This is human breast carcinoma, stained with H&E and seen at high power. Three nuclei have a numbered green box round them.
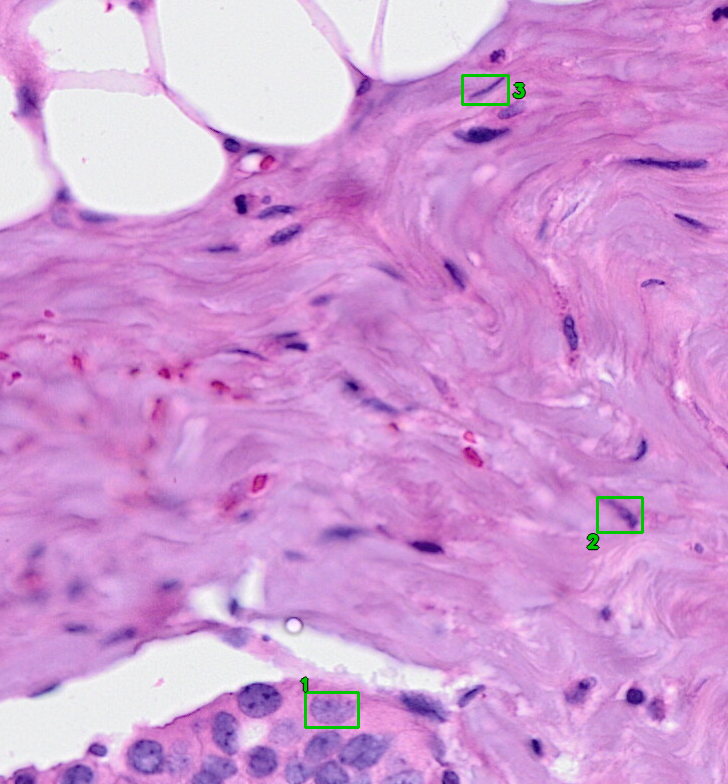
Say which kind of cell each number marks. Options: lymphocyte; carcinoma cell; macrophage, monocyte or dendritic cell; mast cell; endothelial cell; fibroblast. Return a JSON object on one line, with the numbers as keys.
{"1": "carcinoma cell", "2": "fibroblast", "3": "fibroblast"}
